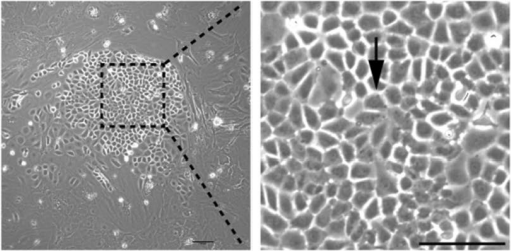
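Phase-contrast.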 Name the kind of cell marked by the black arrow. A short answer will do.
small epithelial cells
